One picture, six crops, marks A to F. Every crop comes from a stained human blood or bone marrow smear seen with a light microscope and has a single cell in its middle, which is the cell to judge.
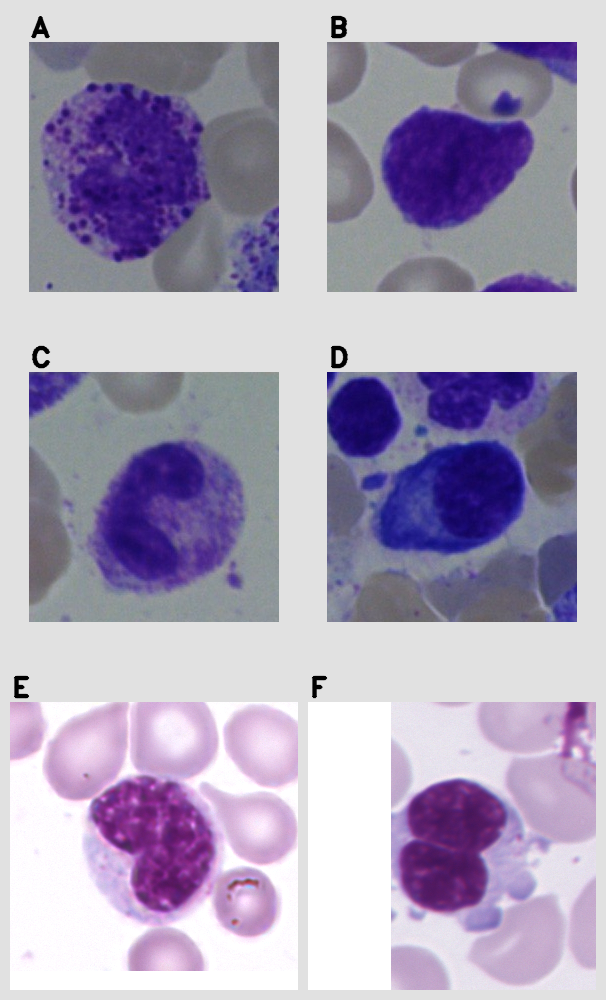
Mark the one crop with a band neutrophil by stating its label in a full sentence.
Among the crops provided, a band neutrophil occupies the center of crop C.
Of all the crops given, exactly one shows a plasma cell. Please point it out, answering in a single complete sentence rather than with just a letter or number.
Of the cells presented, the one in crop D is a plasma cell.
